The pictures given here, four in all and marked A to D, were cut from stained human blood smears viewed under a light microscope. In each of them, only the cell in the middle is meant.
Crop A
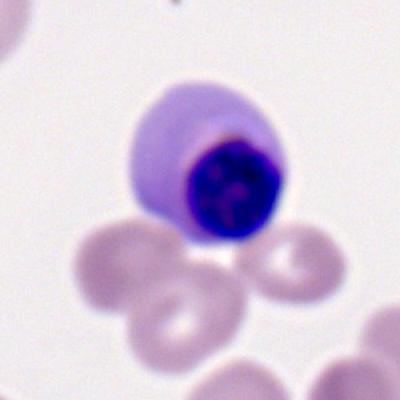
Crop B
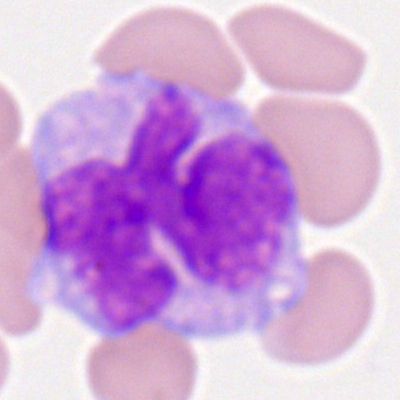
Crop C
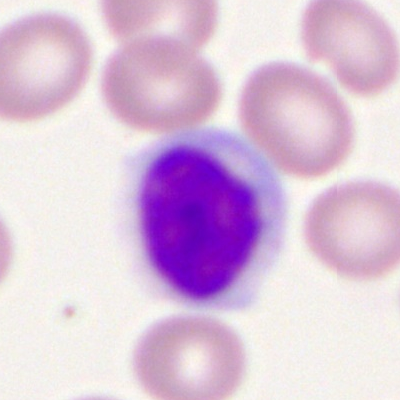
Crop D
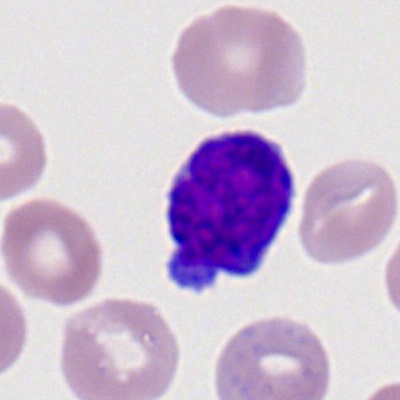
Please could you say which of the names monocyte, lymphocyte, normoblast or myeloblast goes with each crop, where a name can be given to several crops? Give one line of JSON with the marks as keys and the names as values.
{"A": "normoblast", "B": "monocyte", "C": "lymphocyte", "D": "lymphocyte"}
